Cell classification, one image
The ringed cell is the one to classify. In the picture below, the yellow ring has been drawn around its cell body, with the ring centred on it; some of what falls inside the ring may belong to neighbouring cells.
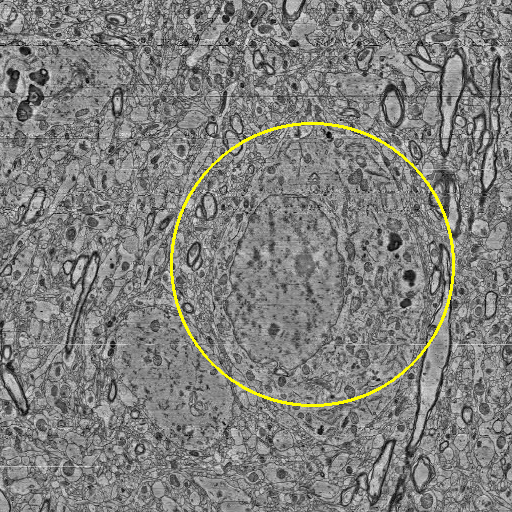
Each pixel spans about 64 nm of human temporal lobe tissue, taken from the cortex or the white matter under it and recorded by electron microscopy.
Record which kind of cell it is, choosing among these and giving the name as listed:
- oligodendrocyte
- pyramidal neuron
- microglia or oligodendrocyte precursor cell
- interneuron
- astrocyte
interneuron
